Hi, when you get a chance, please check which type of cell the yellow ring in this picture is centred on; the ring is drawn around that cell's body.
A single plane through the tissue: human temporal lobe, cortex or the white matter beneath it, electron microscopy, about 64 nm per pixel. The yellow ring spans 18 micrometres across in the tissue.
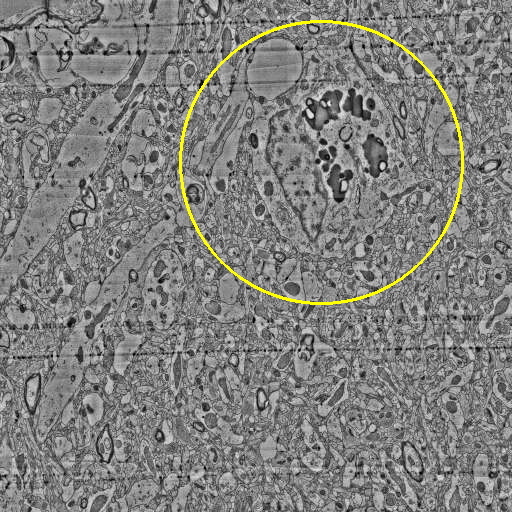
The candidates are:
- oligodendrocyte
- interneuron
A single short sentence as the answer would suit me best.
The ring is drawn around the body of an interneuron.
